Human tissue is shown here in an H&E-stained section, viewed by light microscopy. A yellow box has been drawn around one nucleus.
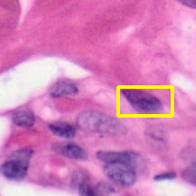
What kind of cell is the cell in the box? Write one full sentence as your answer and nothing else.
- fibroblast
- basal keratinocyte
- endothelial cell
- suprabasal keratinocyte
Students should answer that the cell in the box is a fibroblast.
